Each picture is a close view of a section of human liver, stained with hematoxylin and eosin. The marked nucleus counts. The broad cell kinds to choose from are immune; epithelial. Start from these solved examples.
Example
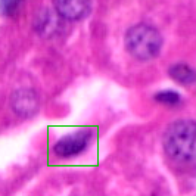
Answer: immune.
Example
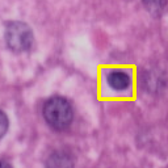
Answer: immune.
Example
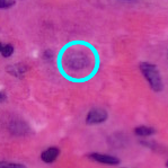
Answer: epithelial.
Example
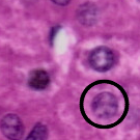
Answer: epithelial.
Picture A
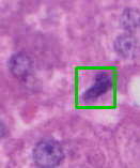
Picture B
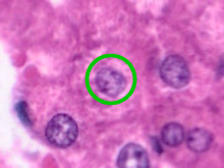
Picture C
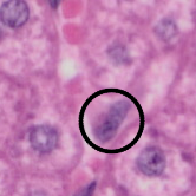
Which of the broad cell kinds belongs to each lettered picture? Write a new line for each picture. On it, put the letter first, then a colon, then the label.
A: immune.
B: epithelial.
C: immune.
